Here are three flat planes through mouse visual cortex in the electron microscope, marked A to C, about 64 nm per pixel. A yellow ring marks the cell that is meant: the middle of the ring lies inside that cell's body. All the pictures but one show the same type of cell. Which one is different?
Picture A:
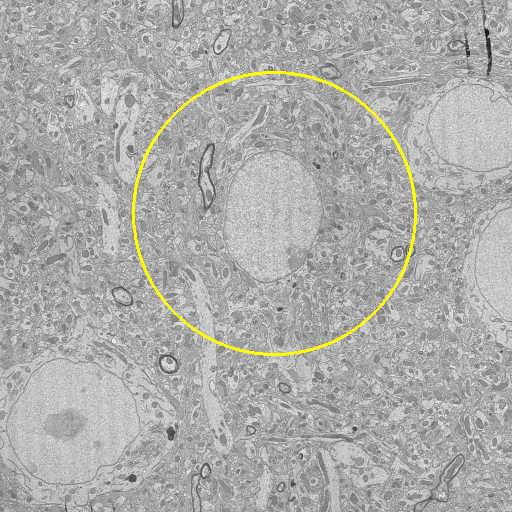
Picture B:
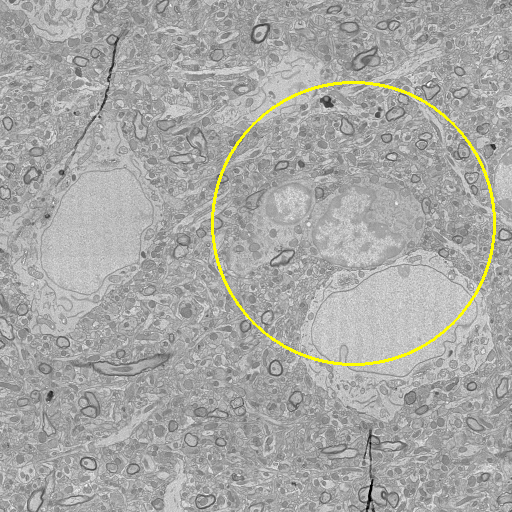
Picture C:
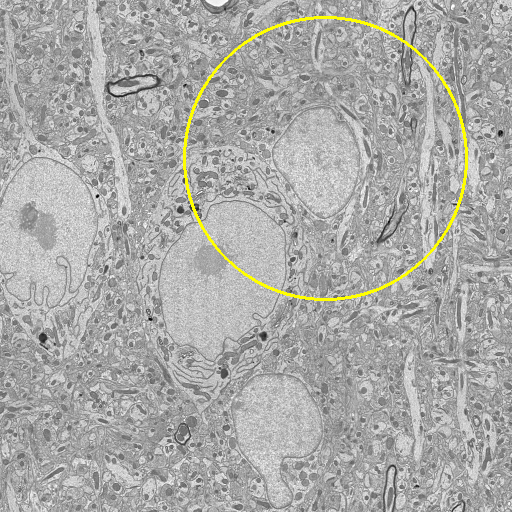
Unlike the rest, which show astrocytes, picture B shows an oligodendrocyte.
